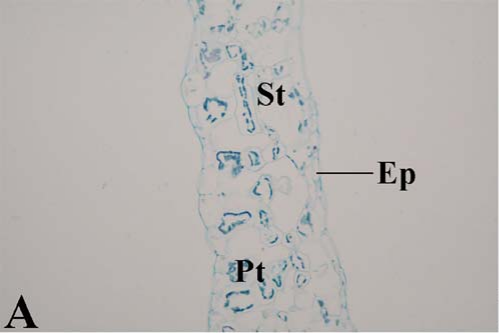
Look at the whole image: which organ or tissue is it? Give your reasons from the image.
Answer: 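Mesophyll. A thin leaf blade section bounded on both faces by a single layer of cells. Between the surface layers lie thin-walled cells containing dark blue bodies along their walls.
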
